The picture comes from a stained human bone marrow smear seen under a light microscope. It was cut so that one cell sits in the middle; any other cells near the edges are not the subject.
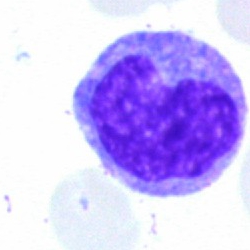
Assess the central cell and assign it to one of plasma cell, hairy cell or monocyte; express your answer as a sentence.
The crop shows a monocyte in its centre.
